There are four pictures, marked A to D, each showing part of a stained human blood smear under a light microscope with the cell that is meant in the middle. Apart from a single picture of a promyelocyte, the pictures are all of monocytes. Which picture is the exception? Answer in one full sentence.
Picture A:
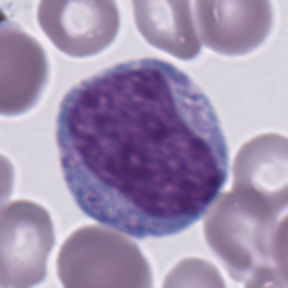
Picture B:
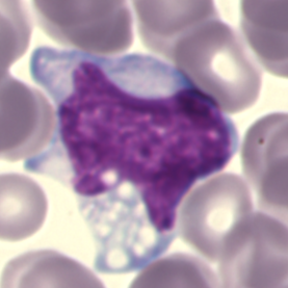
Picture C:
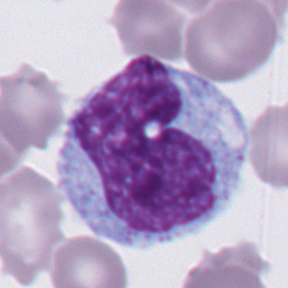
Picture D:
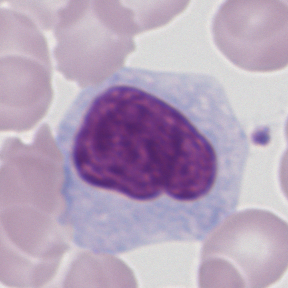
The promyelocyte is the one in picture A.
